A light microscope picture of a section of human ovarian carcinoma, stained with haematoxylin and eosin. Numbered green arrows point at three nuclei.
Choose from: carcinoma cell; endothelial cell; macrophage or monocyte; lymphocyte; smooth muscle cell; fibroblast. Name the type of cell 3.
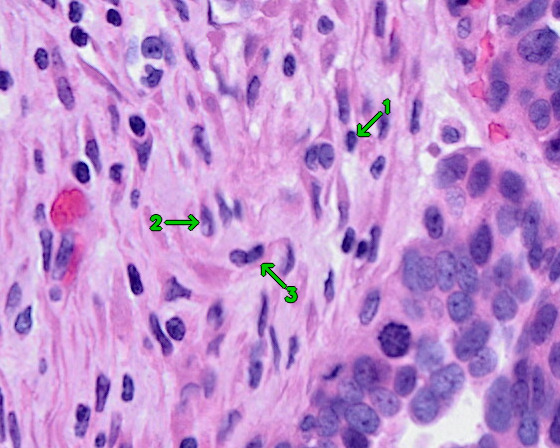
lymphocyte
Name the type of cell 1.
lymphocyte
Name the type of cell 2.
fibroblast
